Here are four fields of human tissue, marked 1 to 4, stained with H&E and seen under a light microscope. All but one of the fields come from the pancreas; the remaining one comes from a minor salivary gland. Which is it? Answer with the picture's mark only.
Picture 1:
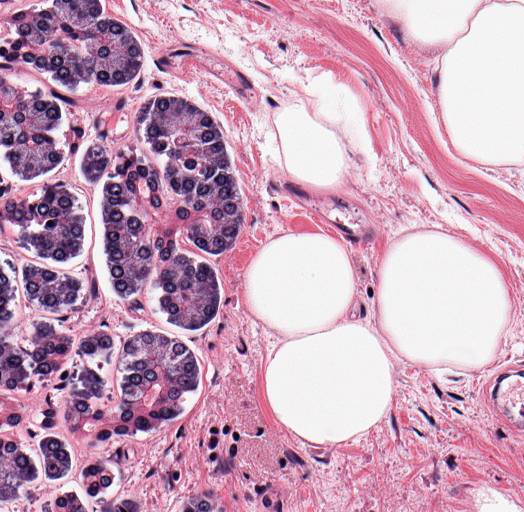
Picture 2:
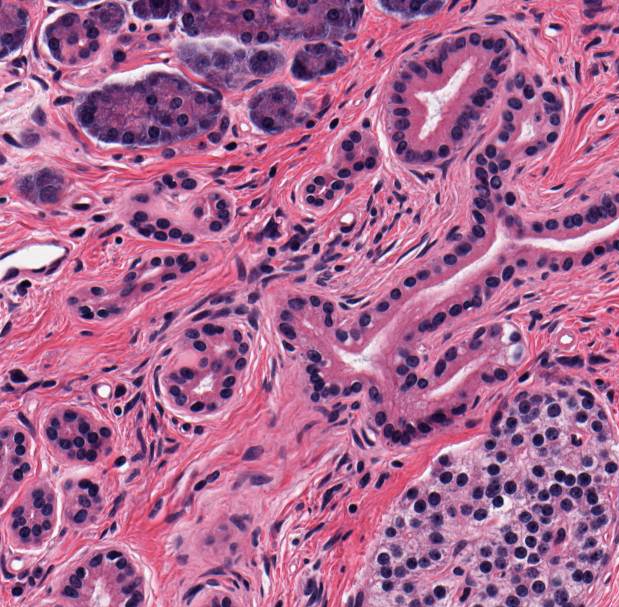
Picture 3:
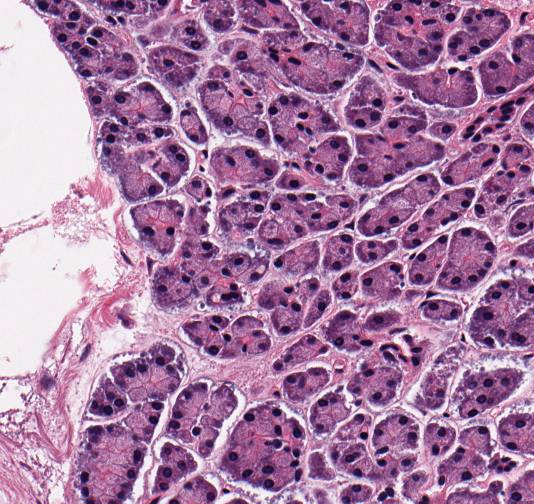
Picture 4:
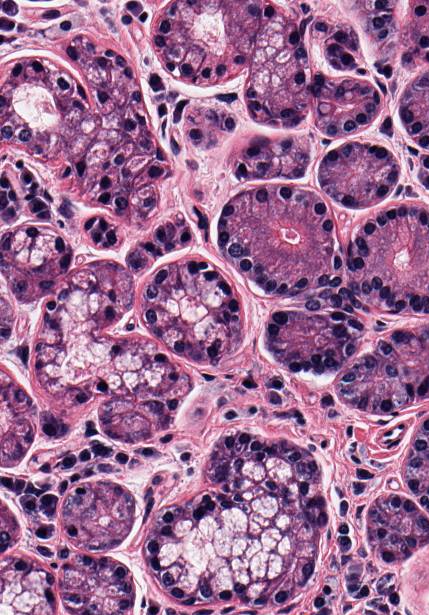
4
